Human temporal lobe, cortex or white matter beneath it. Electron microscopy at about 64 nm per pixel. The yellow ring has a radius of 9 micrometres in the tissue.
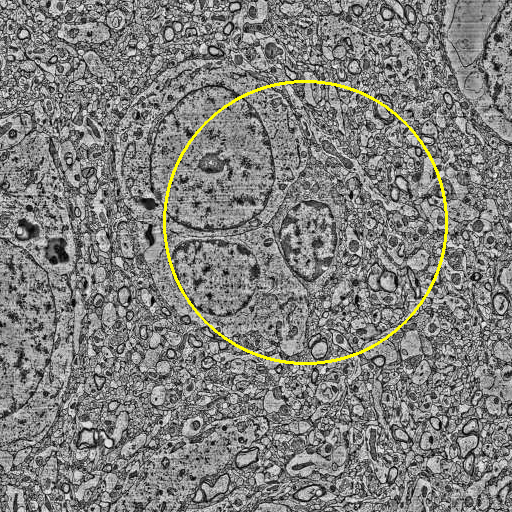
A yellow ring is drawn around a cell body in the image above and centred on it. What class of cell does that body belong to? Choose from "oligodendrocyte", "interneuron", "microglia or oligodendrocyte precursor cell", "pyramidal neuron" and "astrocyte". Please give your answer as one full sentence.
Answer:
The yellow ring above is centred on the cell body of an oligodendrocyte.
